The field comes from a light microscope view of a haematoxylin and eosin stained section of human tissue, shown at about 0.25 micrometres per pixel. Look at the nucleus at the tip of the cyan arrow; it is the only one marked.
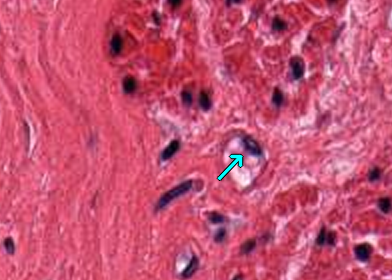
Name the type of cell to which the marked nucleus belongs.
endothelial cell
